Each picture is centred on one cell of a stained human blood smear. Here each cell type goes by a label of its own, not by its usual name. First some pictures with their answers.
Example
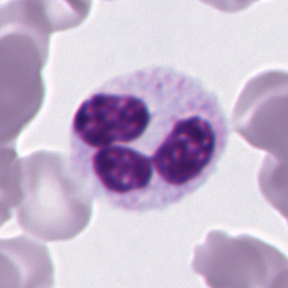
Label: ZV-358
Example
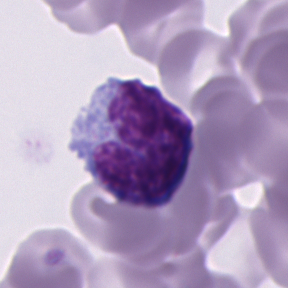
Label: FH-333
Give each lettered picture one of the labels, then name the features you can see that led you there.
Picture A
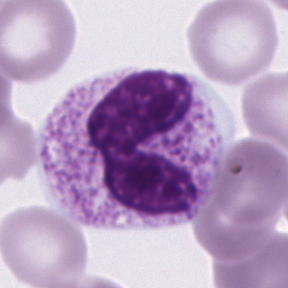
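ZV-358: The cytoplasm is abundant and pale in background colour.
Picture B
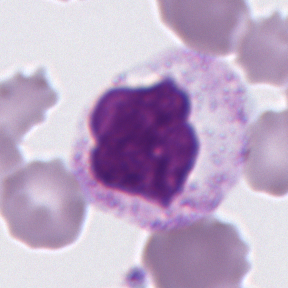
ZV-358: The cytoplasm forms a broad rim that is widest on the right of the nucleus.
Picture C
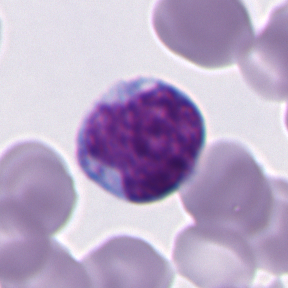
FH-333: The nucleus fills most of the cell.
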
